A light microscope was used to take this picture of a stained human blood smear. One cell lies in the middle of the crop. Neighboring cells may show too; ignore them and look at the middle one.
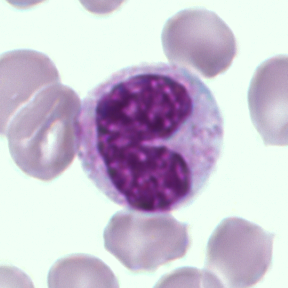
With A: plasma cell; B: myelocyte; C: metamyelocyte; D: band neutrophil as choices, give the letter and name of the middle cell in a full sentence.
The cell occupying the centre is a band neutrophil; option D is thus the correct choice.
